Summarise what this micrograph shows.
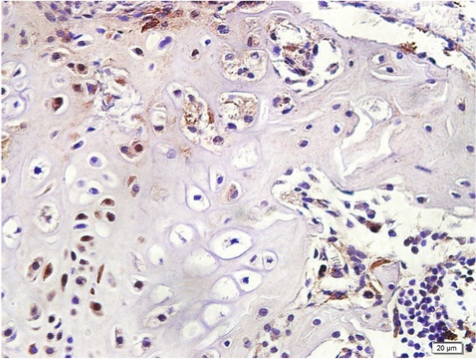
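Cartilage with rounded cells in lacunae within a pale matrix, several cells with brown-stained nuclei and cytoplasm. Vascular spaces with loose cells cut into the cartilage, and a cluster of small round marrow cells lies at the lower right.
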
